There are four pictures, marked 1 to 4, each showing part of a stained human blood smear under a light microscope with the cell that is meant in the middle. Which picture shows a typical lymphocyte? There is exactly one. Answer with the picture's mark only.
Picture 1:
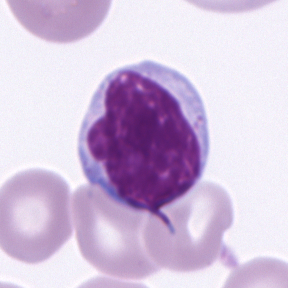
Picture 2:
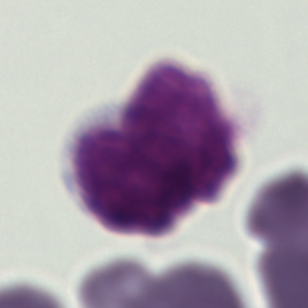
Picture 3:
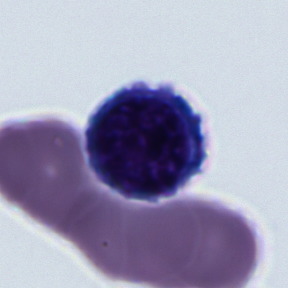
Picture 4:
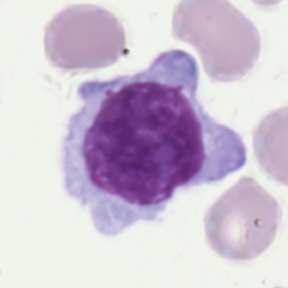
1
